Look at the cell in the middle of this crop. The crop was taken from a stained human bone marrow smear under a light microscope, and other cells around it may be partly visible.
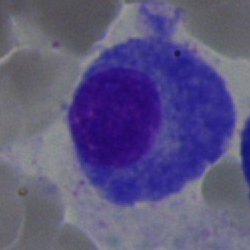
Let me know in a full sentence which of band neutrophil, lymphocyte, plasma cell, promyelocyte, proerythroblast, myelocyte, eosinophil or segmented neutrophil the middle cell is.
The crop shows a plasma cell in its centre.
